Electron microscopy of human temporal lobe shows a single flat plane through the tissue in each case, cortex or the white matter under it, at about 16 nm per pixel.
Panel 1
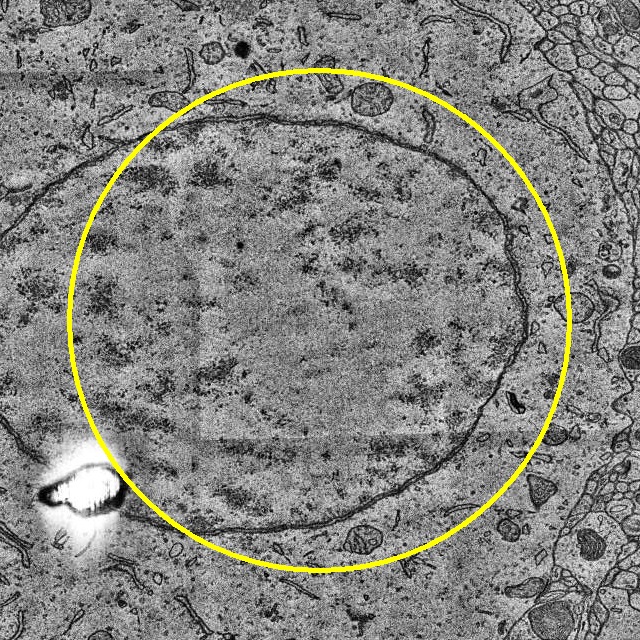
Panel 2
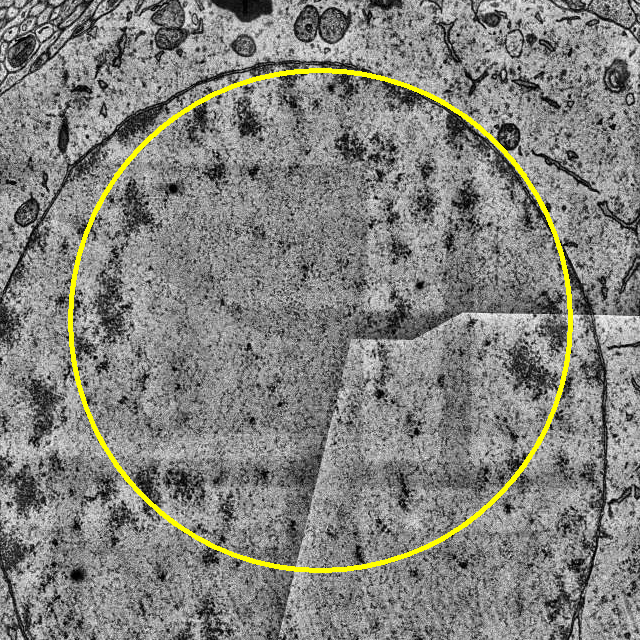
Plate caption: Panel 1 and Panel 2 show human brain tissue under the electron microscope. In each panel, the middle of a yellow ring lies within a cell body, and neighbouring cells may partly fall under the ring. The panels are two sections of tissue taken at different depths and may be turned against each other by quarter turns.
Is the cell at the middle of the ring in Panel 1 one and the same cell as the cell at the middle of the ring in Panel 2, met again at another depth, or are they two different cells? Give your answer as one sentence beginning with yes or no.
No, the two circled cells are distinct from one another.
